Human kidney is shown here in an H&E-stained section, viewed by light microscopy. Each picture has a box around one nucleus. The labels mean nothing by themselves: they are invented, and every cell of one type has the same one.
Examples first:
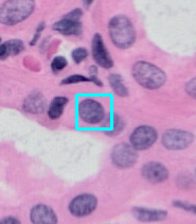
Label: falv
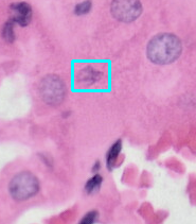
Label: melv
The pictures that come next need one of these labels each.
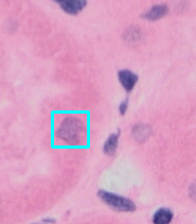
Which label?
melv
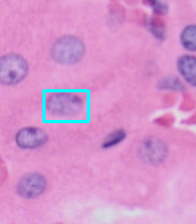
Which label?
melv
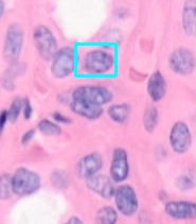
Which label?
falv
